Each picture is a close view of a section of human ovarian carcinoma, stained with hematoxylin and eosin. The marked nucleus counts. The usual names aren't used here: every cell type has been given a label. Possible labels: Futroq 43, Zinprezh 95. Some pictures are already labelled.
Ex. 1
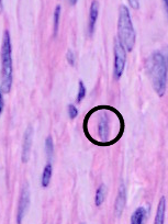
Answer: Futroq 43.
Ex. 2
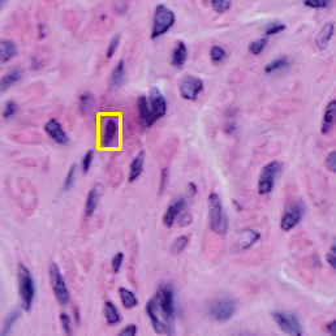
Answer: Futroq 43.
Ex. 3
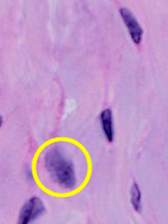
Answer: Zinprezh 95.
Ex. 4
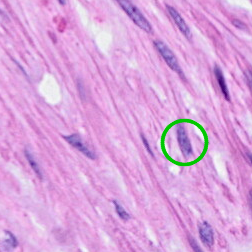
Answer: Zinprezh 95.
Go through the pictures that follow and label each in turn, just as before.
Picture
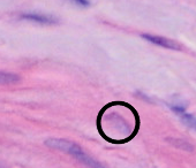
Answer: Futroq 43.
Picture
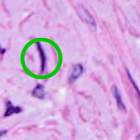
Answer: Zinprezh 95.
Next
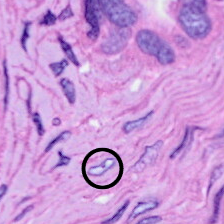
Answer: Zinprezh 95.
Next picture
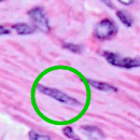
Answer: Zinprezh 95.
